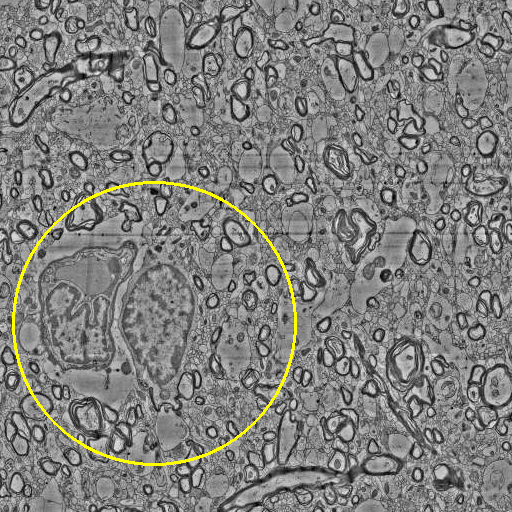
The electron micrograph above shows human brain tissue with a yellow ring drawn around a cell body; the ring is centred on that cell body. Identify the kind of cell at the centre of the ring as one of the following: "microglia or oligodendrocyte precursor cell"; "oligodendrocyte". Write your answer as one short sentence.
The cell at the centre of the ring is an oligodendrocyte.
